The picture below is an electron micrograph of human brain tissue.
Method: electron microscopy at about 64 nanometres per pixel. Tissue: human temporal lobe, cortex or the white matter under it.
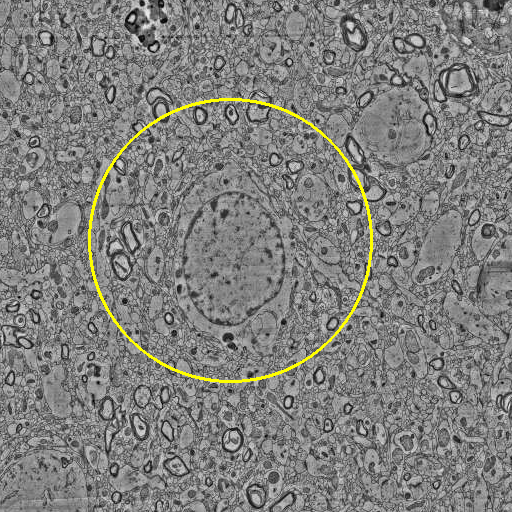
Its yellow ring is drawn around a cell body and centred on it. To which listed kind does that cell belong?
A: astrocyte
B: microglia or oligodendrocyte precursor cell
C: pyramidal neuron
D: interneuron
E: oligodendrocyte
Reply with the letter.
A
